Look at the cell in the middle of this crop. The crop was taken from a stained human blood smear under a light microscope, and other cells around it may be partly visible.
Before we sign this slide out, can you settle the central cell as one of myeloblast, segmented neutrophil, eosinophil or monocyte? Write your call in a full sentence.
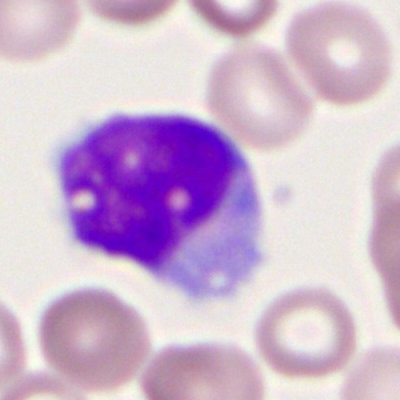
The middle cell in this particular crop is a monocyte.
